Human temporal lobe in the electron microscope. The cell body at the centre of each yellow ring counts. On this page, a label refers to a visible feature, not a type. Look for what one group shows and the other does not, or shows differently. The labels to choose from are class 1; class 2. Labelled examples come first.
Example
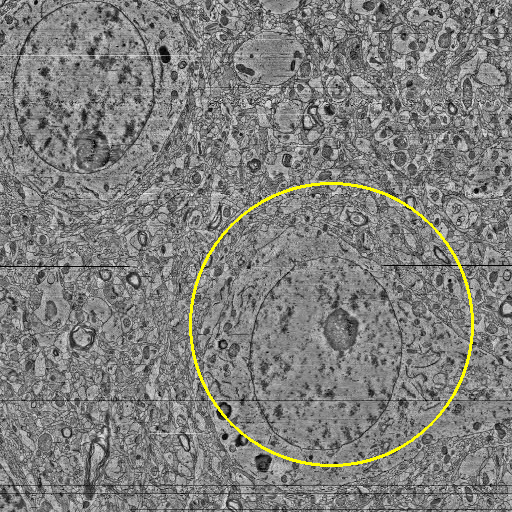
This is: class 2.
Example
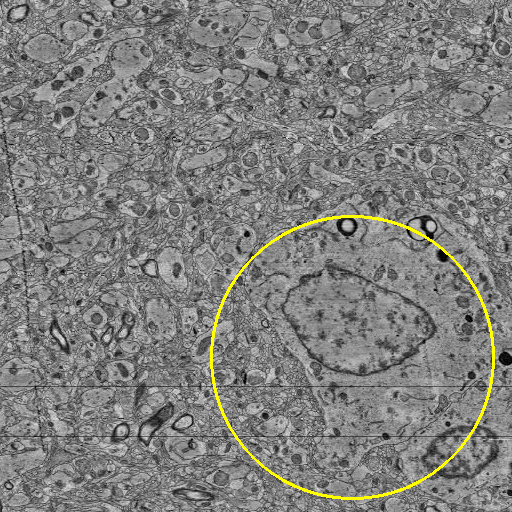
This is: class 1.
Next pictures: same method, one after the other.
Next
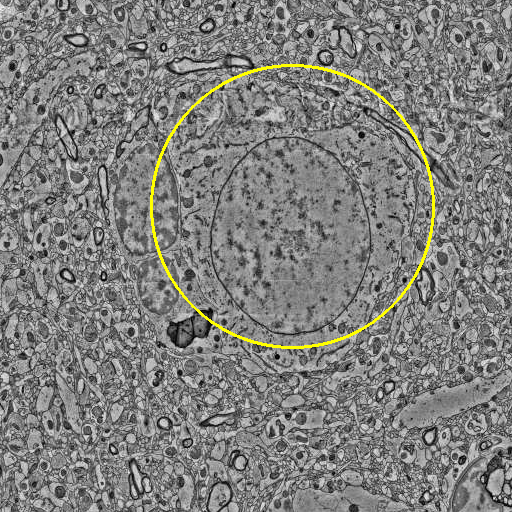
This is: class 1.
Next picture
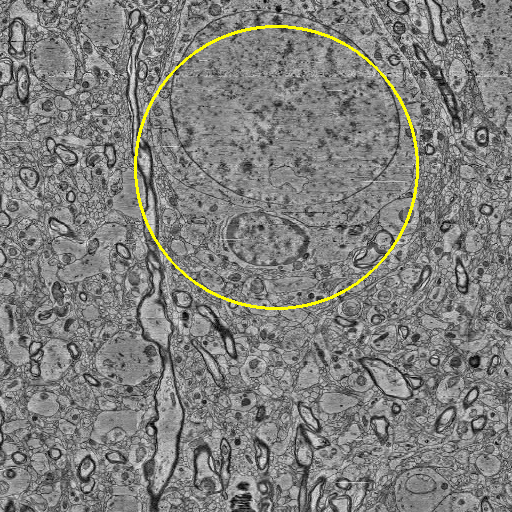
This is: class 1.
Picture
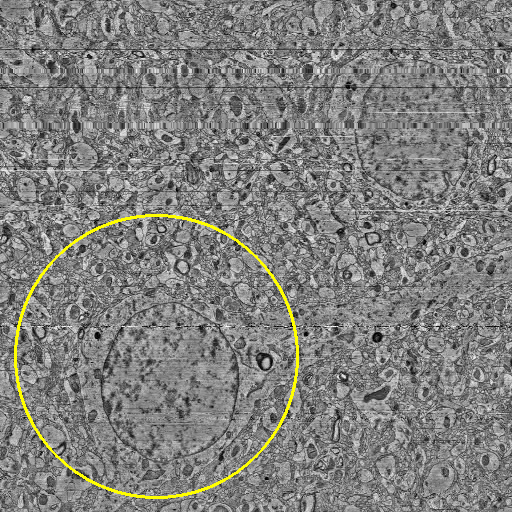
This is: class 1.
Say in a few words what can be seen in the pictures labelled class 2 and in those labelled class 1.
class 2: nucleolus seen; class 1: no nucleolus seen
